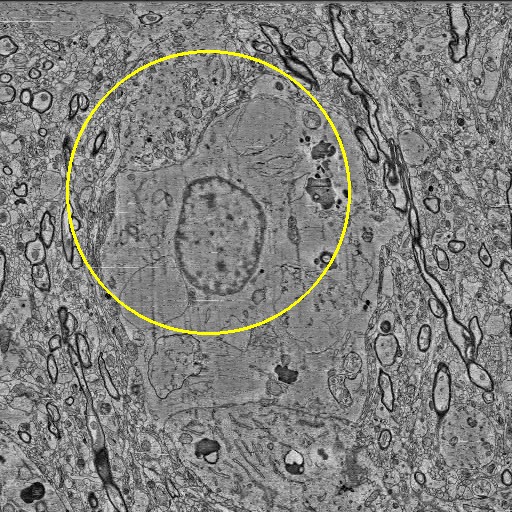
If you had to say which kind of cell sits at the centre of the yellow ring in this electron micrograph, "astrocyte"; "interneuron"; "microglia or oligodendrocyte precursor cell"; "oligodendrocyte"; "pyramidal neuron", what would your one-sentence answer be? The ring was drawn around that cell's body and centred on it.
The cell sitting at the centre of the ring is an astrocyte.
